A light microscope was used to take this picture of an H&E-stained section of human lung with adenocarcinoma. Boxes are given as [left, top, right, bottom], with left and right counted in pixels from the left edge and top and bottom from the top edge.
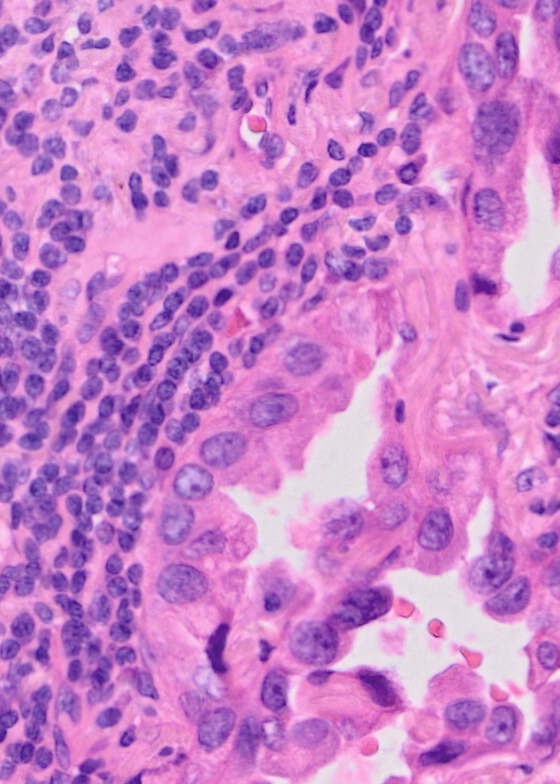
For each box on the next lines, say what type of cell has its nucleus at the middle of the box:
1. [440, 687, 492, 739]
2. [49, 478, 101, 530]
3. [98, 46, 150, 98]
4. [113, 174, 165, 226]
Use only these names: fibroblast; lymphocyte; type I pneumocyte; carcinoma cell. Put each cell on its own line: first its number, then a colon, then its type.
1: carcinoma cell
2: lymphocyte
3: lymphocyte
4: lymphocyte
